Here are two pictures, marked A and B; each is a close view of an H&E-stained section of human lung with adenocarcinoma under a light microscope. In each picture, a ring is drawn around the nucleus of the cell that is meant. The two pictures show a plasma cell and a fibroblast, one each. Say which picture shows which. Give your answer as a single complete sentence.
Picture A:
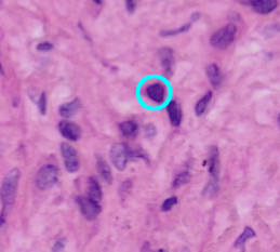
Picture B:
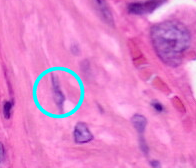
It is picture A that shows a plasma cell, and picture B that shows a fibroblast.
